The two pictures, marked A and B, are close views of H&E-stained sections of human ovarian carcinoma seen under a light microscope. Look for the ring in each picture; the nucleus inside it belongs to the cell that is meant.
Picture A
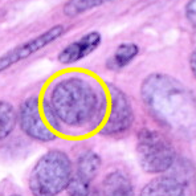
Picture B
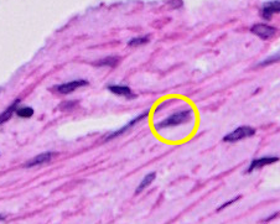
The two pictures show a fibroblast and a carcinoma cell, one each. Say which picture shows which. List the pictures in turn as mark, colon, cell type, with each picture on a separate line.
A: carcinoma cell
B: fibroblast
